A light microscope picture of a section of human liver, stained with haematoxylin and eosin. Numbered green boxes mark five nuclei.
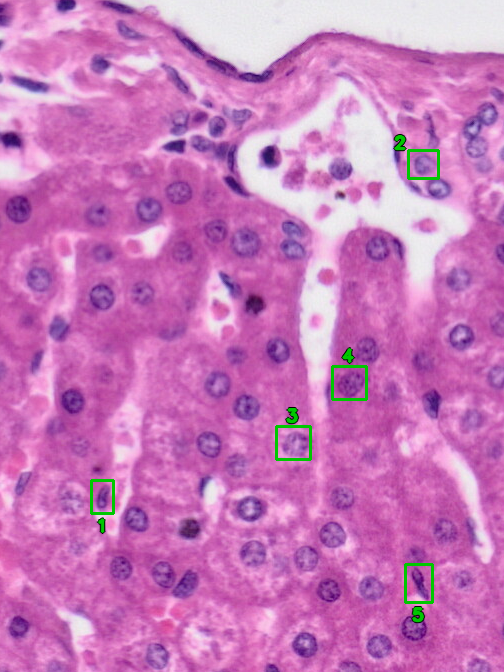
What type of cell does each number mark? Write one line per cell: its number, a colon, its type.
1: Kupffer cell
2: cholangiocyte
3: hepatocyte
4: hepatocyte
5: endothelial cell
